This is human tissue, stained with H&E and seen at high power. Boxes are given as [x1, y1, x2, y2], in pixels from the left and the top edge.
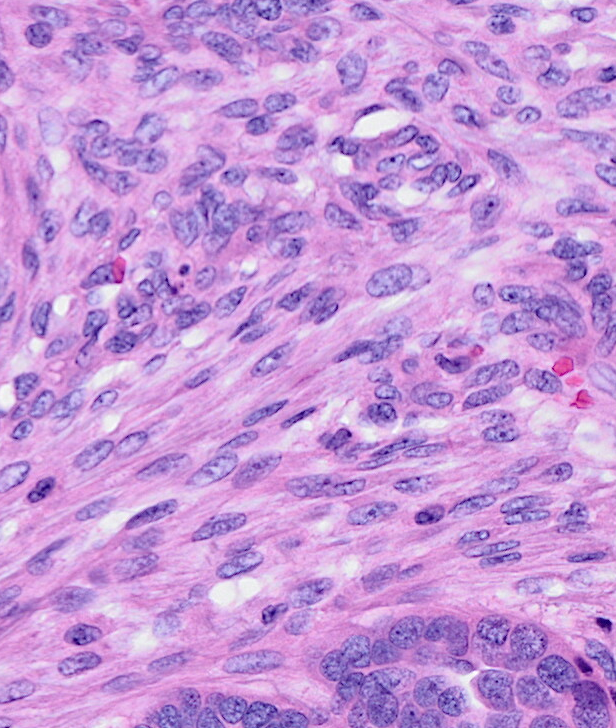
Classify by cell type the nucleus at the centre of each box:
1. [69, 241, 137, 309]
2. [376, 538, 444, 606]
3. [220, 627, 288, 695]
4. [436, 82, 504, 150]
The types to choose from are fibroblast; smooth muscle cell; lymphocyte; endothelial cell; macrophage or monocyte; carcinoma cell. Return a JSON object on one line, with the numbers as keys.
{"1": "endothelial cell", "2": "fibroblast", "3": "fibroblast", "4": "fibroblast"}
